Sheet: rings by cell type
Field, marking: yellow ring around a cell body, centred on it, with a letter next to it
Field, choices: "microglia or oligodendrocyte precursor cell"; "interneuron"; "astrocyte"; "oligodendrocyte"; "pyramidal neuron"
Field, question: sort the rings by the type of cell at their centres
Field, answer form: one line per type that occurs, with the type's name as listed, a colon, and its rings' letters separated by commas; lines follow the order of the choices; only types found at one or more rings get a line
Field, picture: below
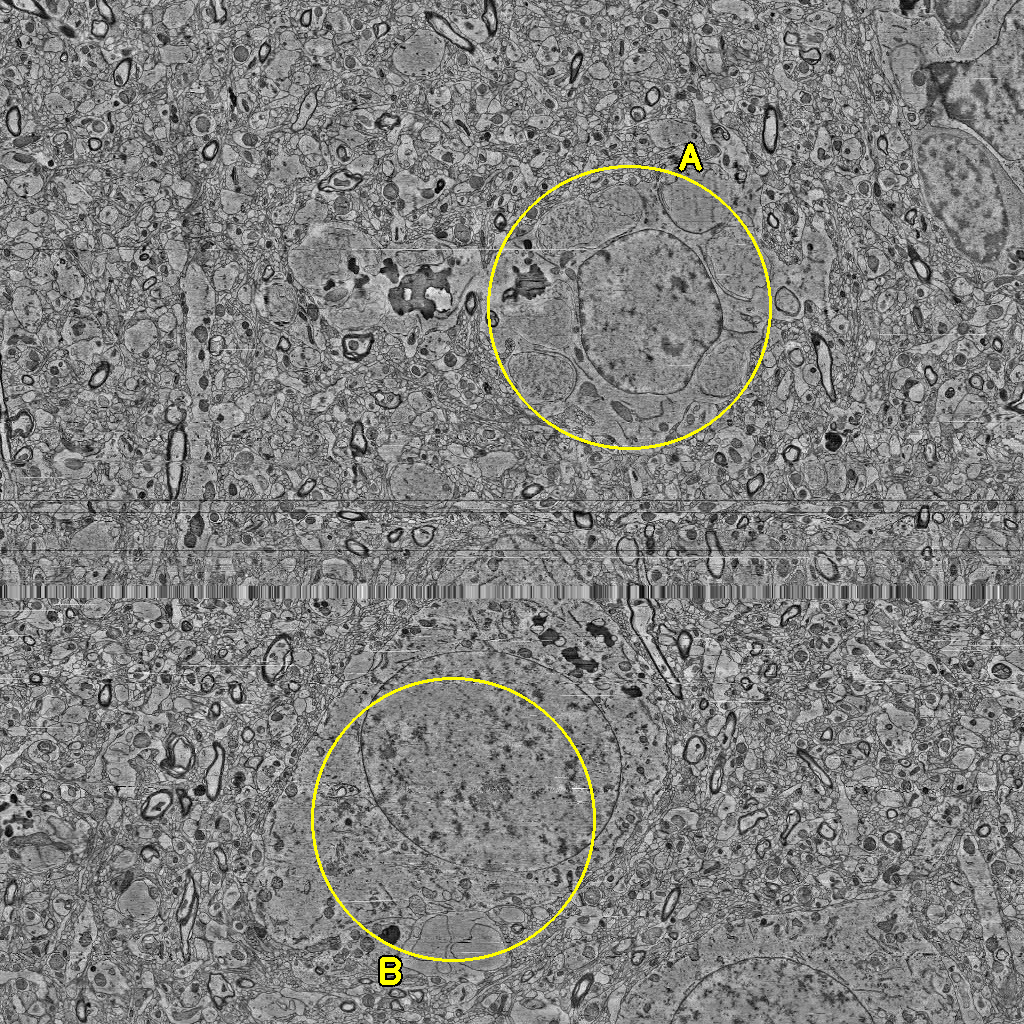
astrocyte: A
pyramidal neuron: B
